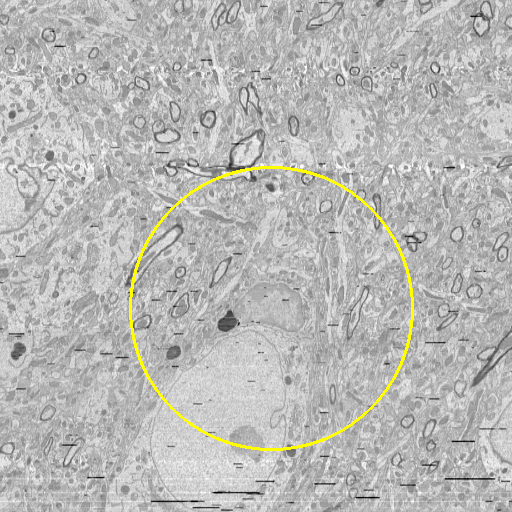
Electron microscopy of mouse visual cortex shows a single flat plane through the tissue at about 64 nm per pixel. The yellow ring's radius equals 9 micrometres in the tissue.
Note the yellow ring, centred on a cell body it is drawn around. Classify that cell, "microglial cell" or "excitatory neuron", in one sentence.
The cell the ring is centred on is a microglial cell.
